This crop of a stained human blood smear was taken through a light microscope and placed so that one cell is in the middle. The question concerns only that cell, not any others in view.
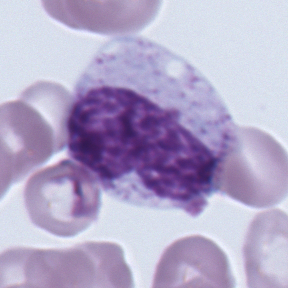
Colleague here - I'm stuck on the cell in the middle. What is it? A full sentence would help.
At the center of the crop sits a metamyelocyte.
